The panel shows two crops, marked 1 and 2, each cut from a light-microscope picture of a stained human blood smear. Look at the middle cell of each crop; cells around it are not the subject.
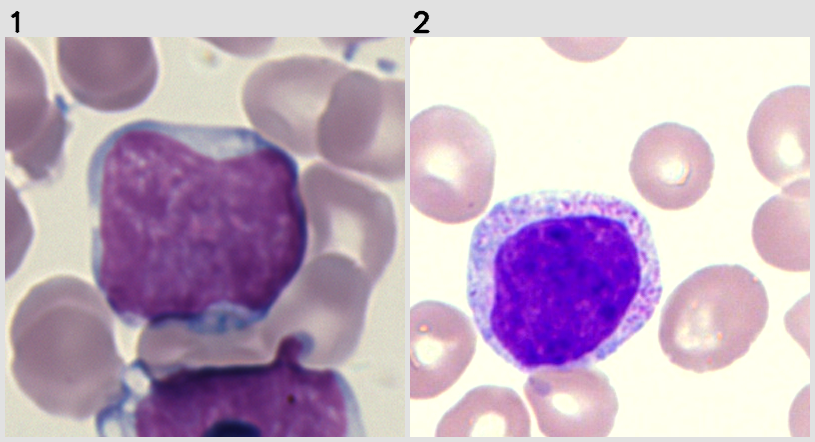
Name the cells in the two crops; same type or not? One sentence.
No, crop 1 offers a blast, while crop 2 offers a lymphocyte.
